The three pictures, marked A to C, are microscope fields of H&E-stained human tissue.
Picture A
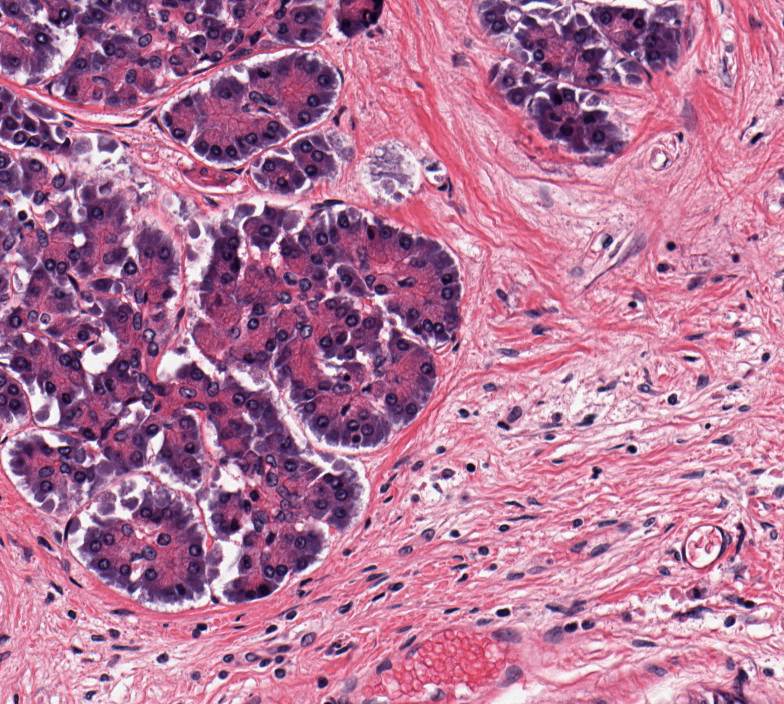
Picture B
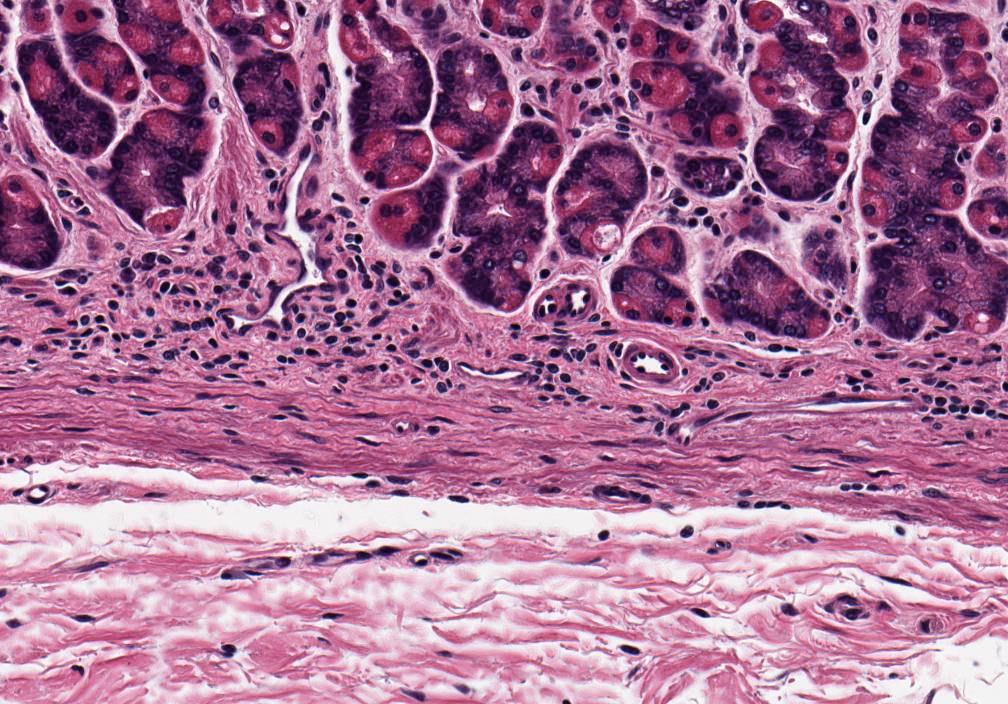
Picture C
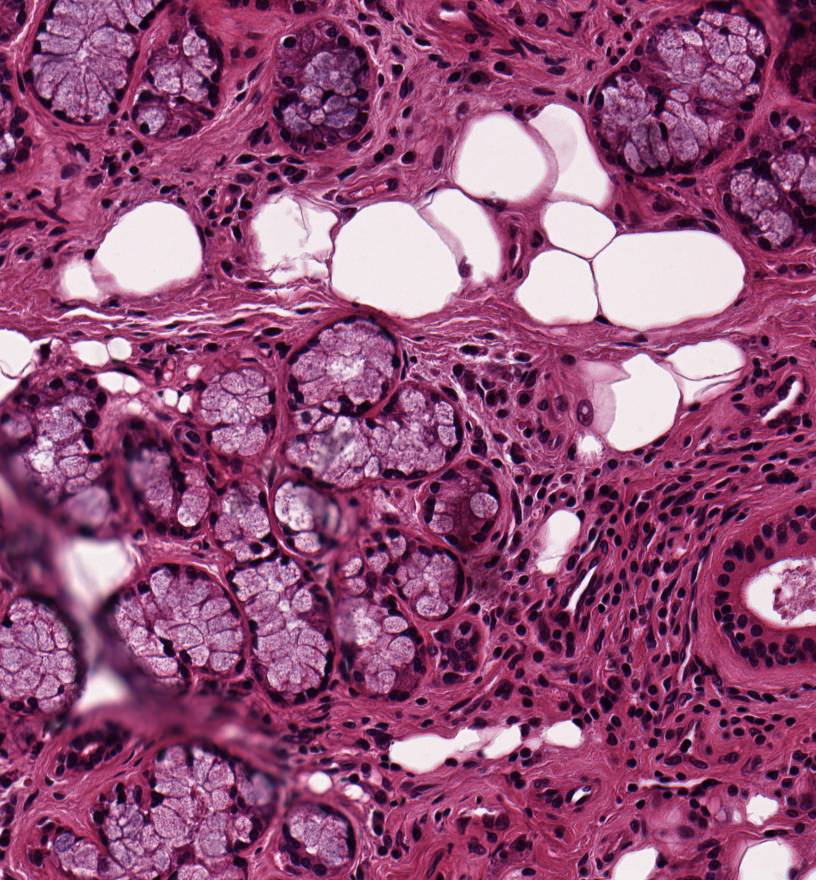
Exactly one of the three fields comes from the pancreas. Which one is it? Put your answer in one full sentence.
It is picture A that comes from the pancreas.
